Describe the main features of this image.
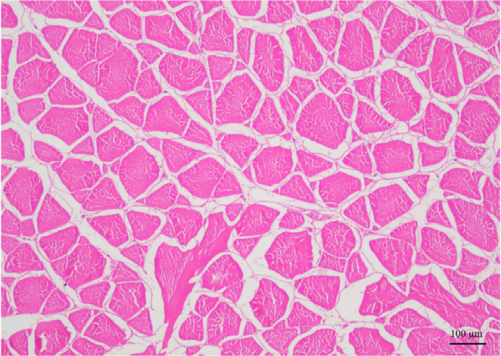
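Transversely cut muscle fibers form a mosaic of angular pink polygons of varying size. The fibers are separated by pale spaces with fine connective tissue strands. A wider band of connective tissue runs between groups of fibers near the lower middle.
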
